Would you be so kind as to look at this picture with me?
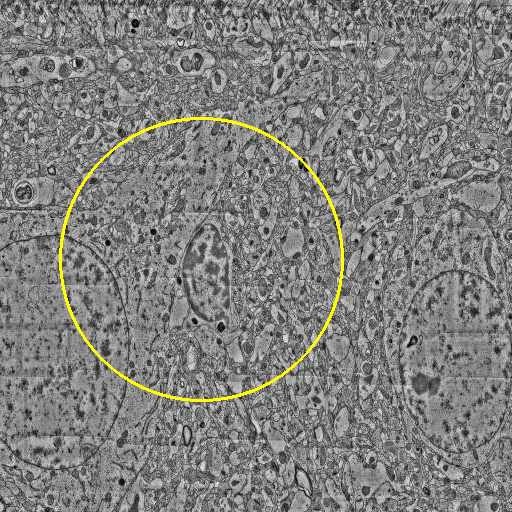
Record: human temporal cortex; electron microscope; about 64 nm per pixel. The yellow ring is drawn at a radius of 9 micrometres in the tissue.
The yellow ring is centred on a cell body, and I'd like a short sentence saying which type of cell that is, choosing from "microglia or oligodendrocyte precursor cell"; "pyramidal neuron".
The cell body in the ring belongs to a microglial cell or oligodendrocyte precursor cell.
